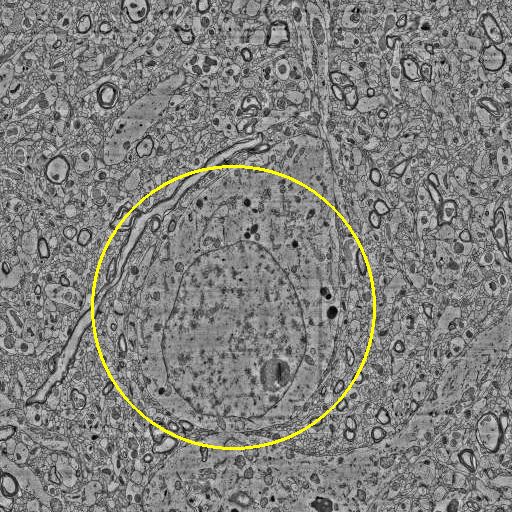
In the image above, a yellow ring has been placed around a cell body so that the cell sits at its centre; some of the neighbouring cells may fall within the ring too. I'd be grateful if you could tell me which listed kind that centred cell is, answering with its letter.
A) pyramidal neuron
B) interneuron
A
